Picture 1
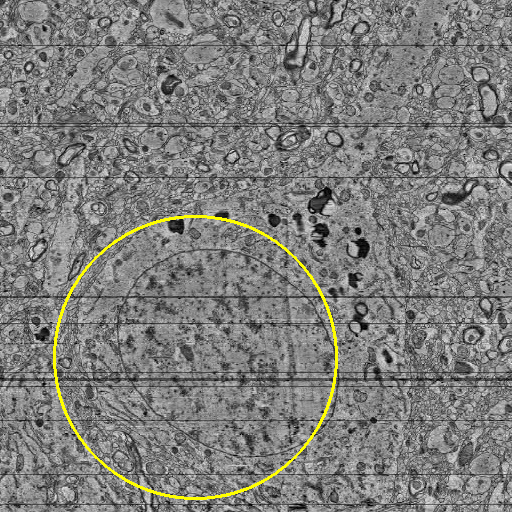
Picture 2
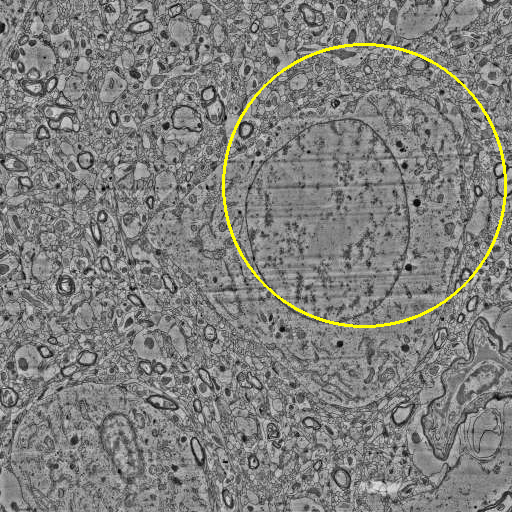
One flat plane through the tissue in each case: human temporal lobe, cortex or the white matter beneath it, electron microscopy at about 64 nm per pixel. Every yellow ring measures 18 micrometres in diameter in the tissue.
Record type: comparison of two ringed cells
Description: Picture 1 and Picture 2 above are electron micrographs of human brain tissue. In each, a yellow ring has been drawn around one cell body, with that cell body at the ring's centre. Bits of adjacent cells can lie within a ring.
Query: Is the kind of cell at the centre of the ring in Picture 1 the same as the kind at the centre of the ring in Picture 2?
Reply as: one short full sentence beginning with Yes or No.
Yes, the two ringed cells are of the same kind.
